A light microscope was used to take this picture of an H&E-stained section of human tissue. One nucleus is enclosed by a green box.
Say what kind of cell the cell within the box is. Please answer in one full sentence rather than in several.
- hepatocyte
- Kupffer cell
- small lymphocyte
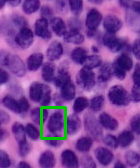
In cellular terms, the cell within the box is a small lymphocyte.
